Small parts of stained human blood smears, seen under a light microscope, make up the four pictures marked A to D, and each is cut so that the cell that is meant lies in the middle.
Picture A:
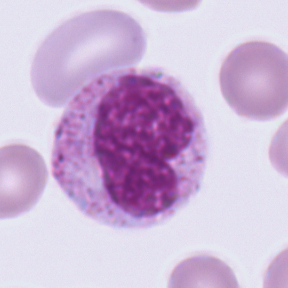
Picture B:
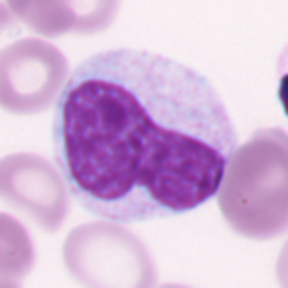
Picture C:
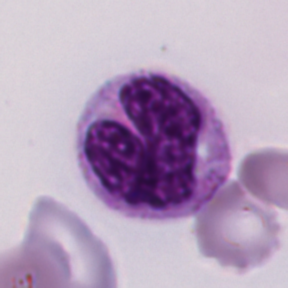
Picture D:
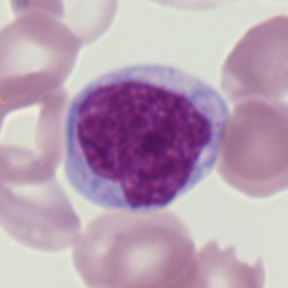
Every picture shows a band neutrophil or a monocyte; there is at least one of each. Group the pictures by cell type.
A: band neutrophil
B: band neutrophil
C: band neutrophil
D: monocyte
